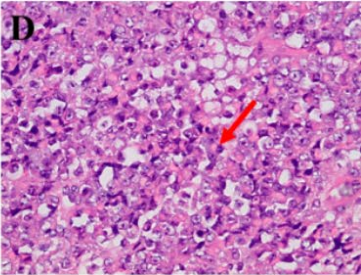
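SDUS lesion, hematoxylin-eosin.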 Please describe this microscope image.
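Sheets of discohesive epithelioid tumor cells of medium to large size. Cells are polygonal to rounded with moderate to ample cytoplasm, much of it pale, clear or vacuolated, some more eosinophilic. Nuclei are round to oval, dark, and often eccentric, giving some cells a rhabdoid look with nucleus displaced to one side. Cells lie loosely with little intervening stroma; scattered pink fibrillar material between groups. No glandular or spindle arrangement is evident.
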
